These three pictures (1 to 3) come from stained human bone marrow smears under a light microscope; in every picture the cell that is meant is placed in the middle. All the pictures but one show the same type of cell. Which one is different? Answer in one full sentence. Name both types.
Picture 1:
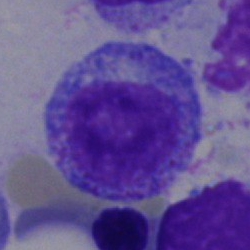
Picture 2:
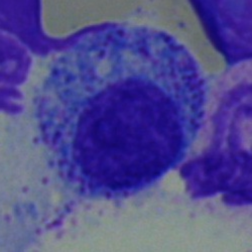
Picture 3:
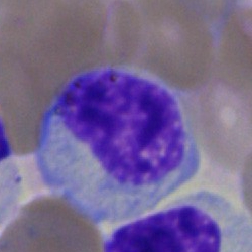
Picture 1 is the odd one out: it shows a promyelocyte, while the others show myelocytes.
